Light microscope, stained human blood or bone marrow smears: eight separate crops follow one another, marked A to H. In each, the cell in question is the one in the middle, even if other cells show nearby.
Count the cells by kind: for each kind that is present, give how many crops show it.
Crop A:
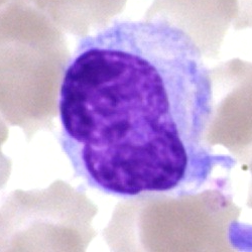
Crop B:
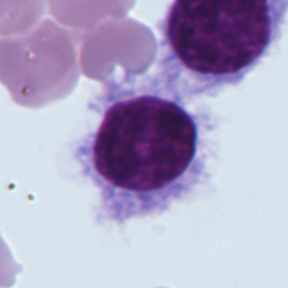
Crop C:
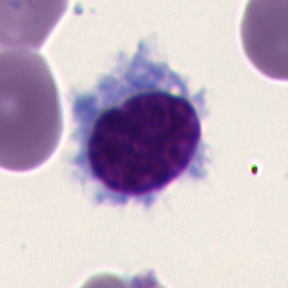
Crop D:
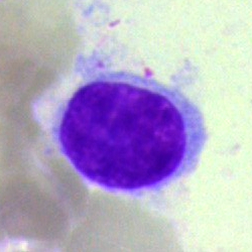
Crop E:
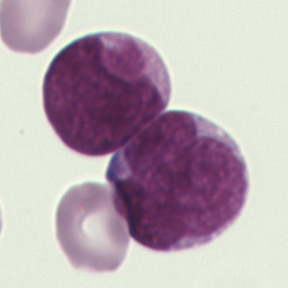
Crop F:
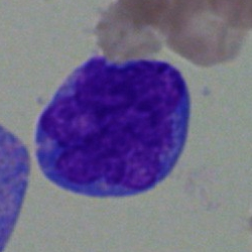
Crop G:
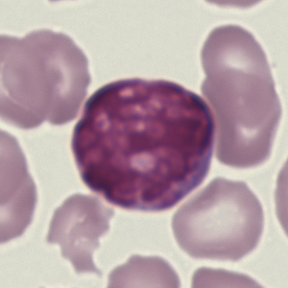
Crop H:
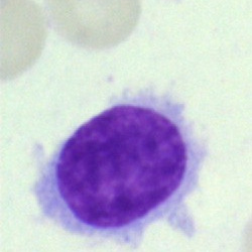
hairy cell: 5
blast: 3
